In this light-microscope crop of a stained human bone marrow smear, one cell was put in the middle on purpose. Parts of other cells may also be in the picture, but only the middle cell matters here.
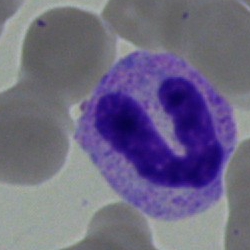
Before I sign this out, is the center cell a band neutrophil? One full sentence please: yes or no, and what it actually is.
Yes, the cell at the centre is designated a band neutrophil.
